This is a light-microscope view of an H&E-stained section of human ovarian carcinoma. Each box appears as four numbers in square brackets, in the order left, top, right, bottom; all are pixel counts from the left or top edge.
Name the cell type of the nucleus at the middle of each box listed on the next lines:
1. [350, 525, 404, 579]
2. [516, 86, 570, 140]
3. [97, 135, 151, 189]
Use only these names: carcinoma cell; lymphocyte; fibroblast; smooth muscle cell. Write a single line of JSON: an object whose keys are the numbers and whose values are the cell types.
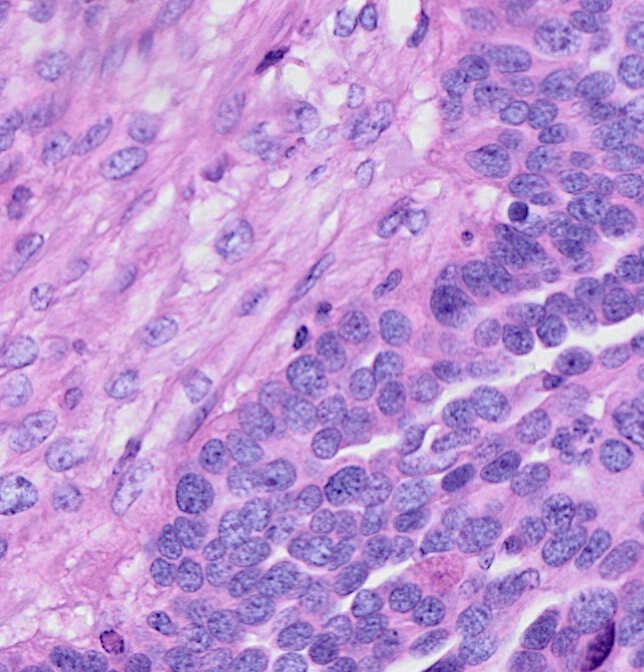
{"1": "carcinoma cell", "2": "carcinoma cell", "3": "fibroblast"}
